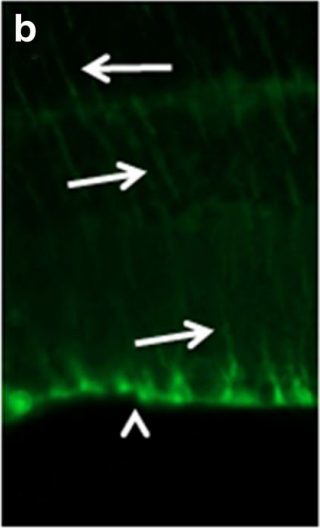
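A cross section of retina in which thin, faint green fibres run vertically and in parallel across the whole thickness, with a faint horizontal band of labelling in the outer part. Toward the inner surface the fibres brighten and widen into cone-shaped feet that sit side by side along the inner border. These are radially running processes and their end feet lining the inner surface of the retina.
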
